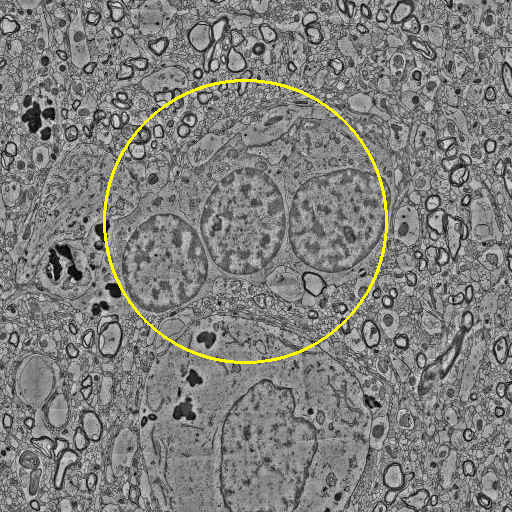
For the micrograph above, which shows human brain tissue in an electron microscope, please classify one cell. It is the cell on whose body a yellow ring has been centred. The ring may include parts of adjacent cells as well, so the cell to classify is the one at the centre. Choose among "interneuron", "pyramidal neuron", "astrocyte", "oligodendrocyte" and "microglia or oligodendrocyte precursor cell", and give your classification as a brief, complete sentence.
I classify this cell as an oligodendrocyte.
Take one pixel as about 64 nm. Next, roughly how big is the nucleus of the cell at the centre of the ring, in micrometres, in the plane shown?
Approximately 7 by 5 micrometers in this plane.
